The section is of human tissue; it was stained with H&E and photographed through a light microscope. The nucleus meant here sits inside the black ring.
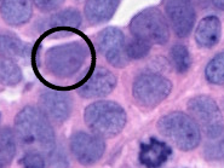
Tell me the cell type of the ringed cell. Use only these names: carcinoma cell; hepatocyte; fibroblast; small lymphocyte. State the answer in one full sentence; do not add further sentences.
For the purposes of cell typing, the ringed cell is categorized as a carcinoma cell.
